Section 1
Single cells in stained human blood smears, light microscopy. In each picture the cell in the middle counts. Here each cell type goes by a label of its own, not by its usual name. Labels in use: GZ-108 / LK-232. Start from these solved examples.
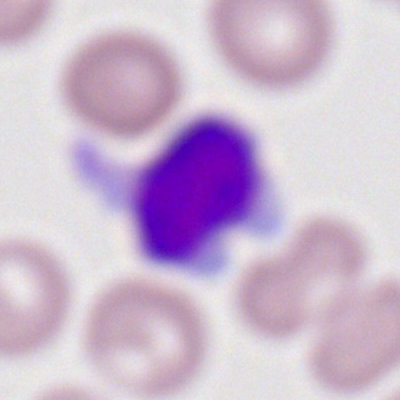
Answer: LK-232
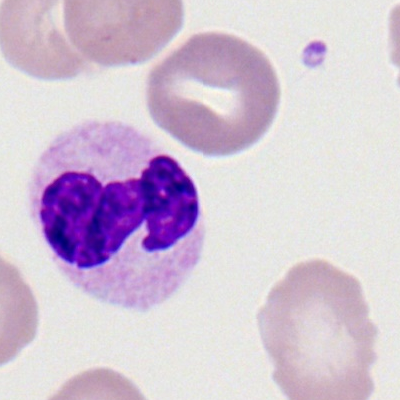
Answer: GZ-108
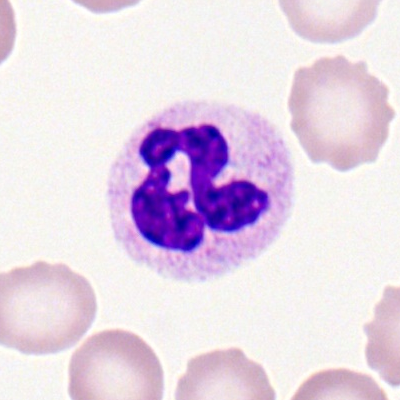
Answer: GZ-108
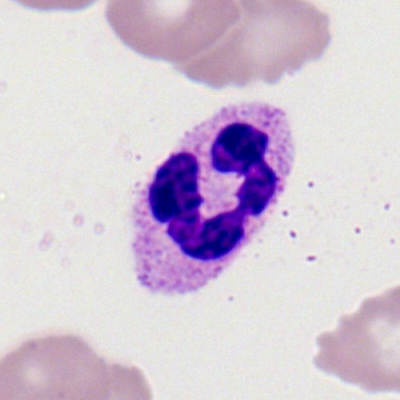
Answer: GZ-108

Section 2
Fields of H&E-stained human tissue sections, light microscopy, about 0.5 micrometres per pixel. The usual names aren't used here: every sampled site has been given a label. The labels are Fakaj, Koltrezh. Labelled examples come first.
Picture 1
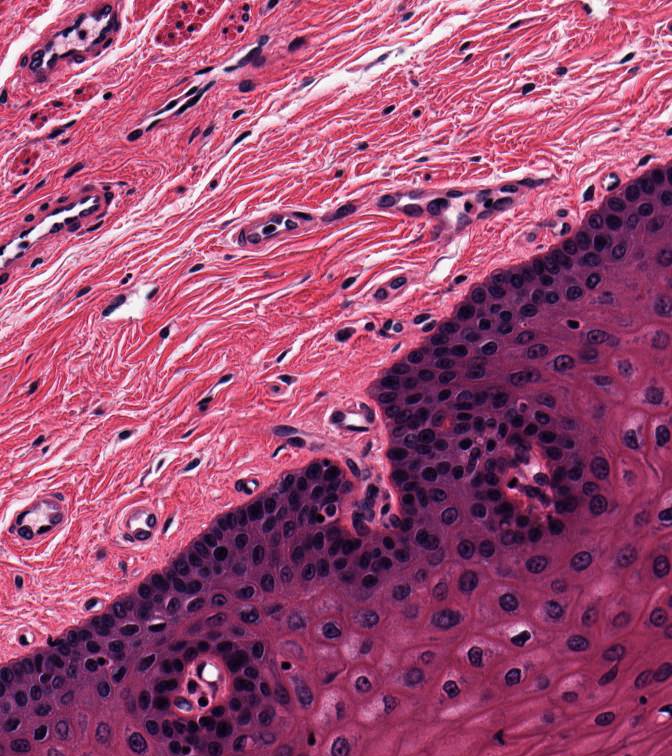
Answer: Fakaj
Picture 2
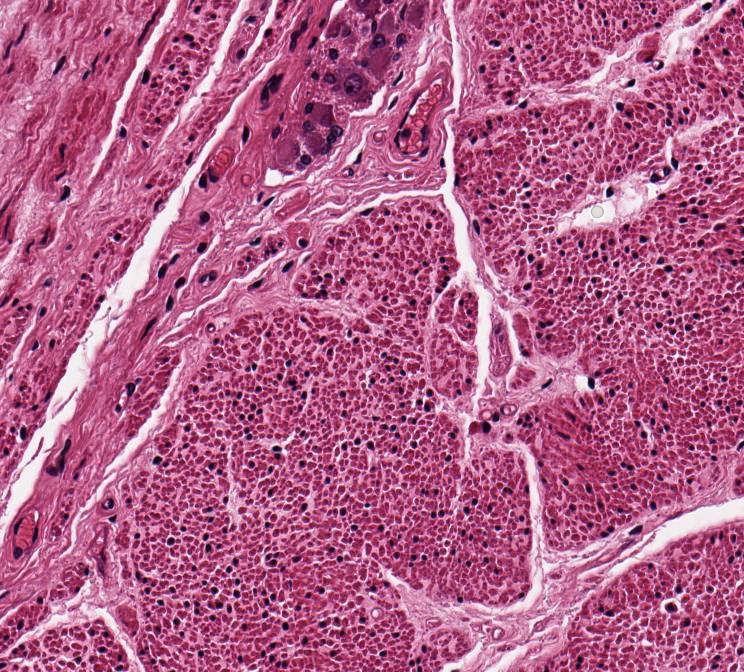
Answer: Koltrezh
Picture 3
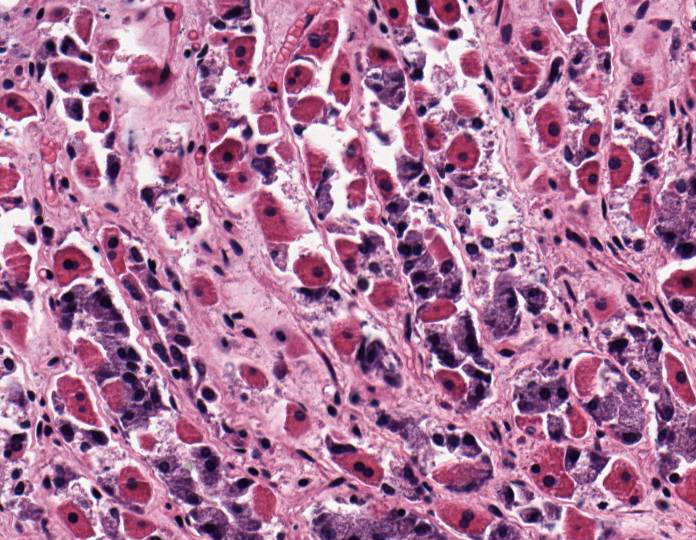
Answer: Koltrezh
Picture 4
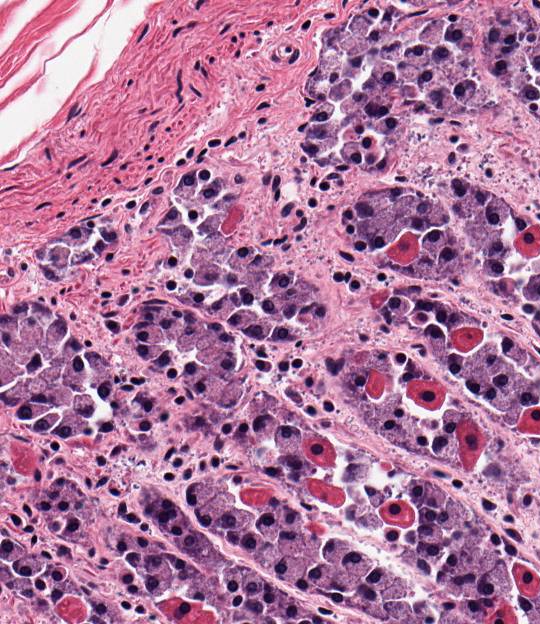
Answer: Koltrezh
